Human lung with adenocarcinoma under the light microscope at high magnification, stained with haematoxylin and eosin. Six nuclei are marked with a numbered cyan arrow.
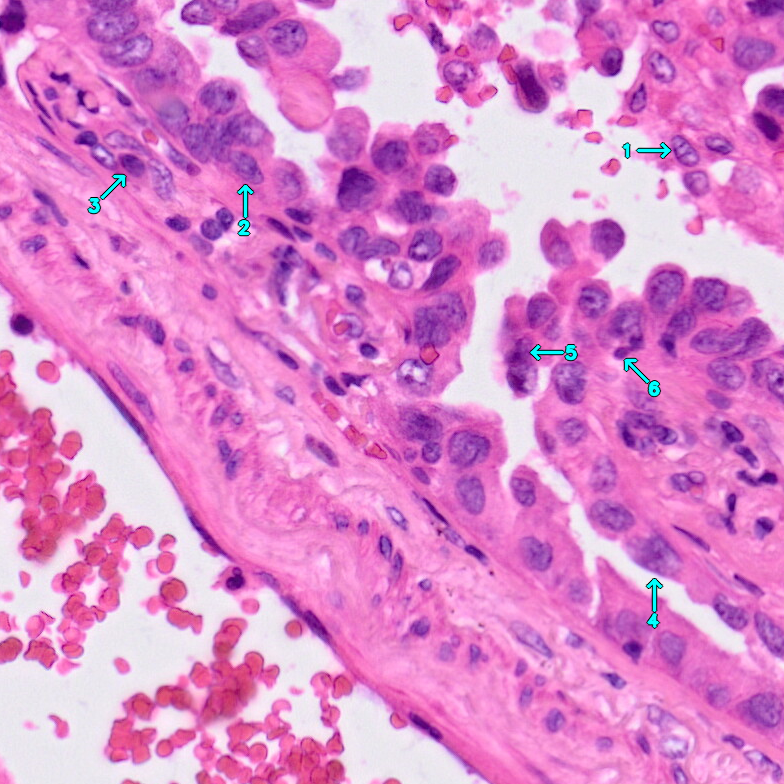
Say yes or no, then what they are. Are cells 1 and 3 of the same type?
No, what is marked as cell 1 is a macrophage or monocyte, and what is marked as cell 3 is a plasma cell.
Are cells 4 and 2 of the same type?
Yes, both cell 4 and cell 2 are carcinoma cells.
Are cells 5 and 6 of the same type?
No, the cell numbered 5 is a carcinoma cell and the cell numbered 6 is a lymphocyte.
